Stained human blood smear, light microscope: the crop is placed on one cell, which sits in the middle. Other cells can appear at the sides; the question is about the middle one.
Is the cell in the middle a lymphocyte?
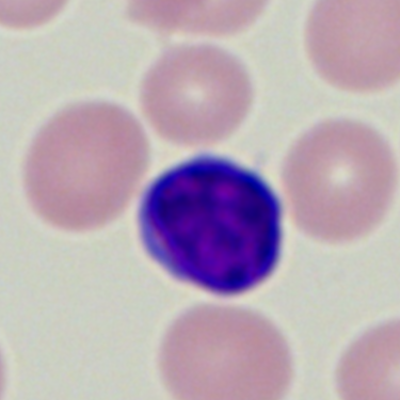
yes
